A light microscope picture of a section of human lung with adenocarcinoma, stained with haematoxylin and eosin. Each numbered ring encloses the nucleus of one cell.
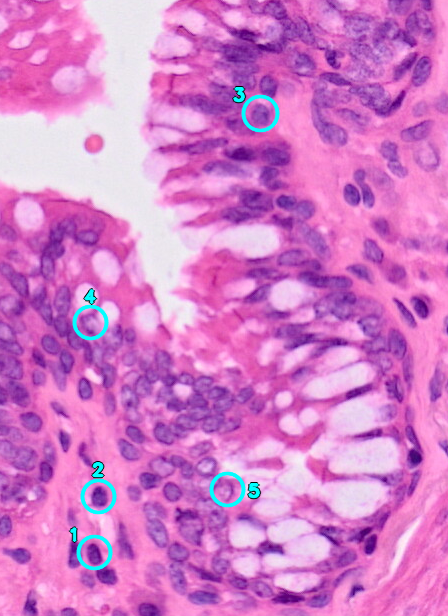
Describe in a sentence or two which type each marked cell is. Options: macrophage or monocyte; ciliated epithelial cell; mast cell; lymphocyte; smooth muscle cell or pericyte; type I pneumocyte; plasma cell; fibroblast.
Cells 1 and 2 are lymphocytes. Cells 3, 4 and 5 are ciliated epithelial cells.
